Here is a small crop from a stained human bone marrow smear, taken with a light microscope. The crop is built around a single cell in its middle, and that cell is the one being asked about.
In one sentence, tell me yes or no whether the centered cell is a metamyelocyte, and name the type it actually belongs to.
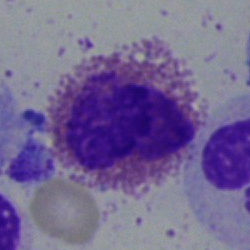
No, the centre of the crop is taken up by an eosinophil, not a metamyelocyte.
